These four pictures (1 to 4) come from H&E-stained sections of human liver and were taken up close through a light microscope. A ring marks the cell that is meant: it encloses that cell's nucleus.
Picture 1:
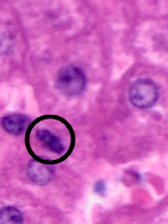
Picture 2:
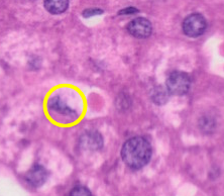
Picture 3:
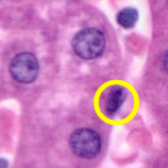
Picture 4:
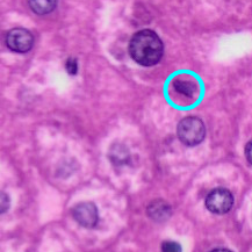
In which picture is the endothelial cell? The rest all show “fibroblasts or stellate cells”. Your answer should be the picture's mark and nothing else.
2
